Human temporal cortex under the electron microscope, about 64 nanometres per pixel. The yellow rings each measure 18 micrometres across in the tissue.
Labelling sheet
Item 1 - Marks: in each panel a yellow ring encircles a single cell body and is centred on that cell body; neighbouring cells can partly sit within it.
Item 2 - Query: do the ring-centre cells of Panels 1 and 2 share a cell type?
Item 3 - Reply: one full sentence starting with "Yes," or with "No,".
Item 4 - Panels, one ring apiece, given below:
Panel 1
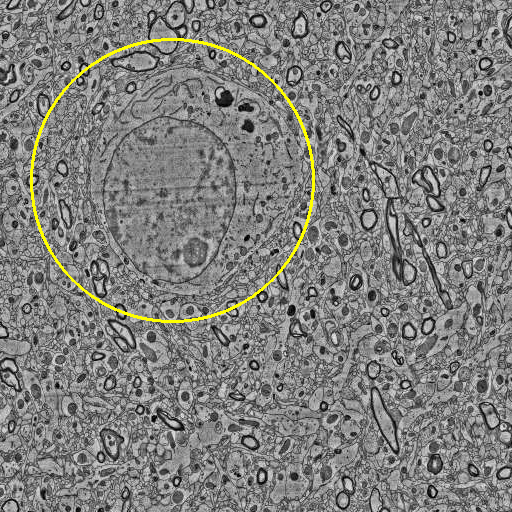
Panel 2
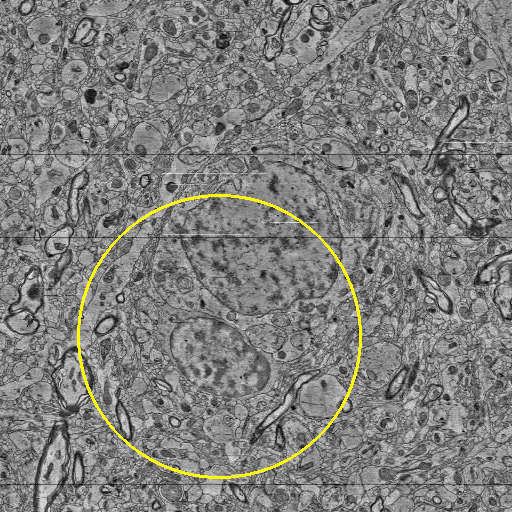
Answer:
No, Panel 1 and Panel 2 show two cell types at the centres of their rings.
